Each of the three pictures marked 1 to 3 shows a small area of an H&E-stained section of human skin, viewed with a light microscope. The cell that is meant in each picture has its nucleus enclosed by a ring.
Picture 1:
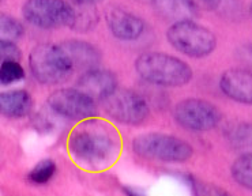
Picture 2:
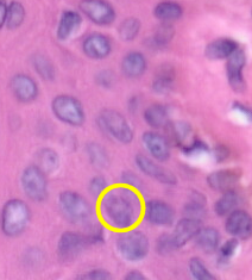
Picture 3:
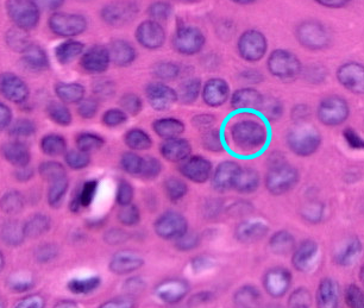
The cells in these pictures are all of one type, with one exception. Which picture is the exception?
1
